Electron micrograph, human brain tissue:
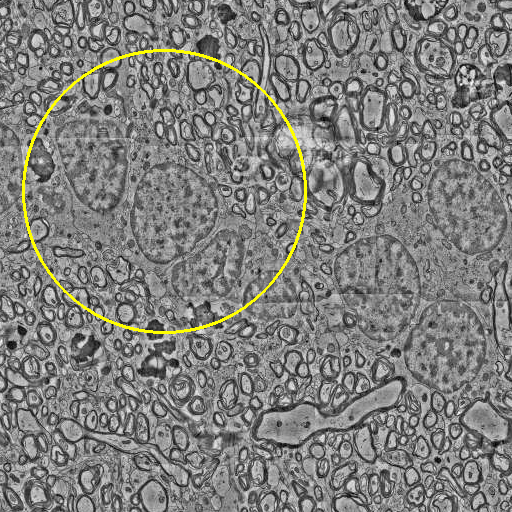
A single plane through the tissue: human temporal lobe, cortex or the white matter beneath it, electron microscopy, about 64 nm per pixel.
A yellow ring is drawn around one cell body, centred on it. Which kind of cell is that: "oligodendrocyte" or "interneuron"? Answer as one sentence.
It is an oligodendrocyte at the centre of the ring.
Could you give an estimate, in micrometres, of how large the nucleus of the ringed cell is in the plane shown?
About 6 by 5 micrometers for the nucleus, in this plane.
